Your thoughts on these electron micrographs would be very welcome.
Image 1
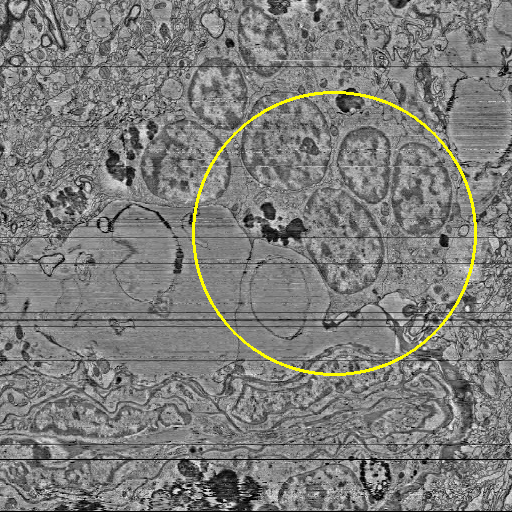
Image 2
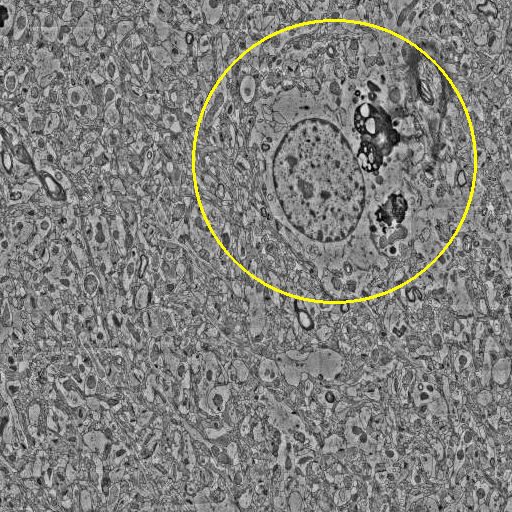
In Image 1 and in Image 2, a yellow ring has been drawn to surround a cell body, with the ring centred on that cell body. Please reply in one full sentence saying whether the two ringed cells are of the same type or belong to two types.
The ringed cells in Image 1 and Image 2 belong to two types.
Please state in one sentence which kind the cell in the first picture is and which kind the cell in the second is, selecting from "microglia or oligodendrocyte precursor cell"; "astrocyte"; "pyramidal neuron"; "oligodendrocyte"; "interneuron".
The first ringed cell is an oligodendrocyte, the second ringed cell an astrocyte.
